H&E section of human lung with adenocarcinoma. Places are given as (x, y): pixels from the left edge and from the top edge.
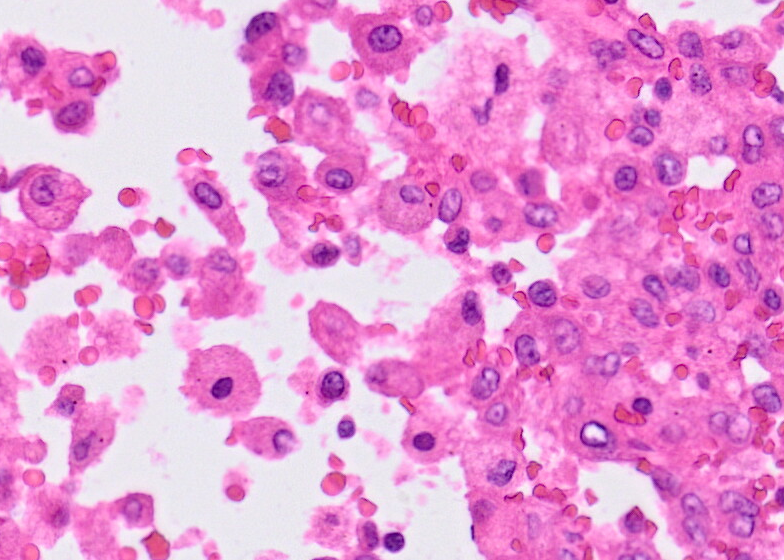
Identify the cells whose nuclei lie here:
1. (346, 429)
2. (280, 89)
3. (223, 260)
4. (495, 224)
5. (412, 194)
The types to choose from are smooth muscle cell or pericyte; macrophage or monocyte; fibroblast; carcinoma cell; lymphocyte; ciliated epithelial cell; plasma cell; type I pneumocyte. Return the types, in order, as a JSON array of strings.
["lymphocyte", "carcinoma cell", "macrophage or monocyte", "macrophage or monocyte", "macrophage or monocyte"]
